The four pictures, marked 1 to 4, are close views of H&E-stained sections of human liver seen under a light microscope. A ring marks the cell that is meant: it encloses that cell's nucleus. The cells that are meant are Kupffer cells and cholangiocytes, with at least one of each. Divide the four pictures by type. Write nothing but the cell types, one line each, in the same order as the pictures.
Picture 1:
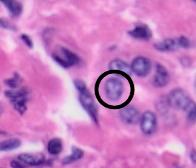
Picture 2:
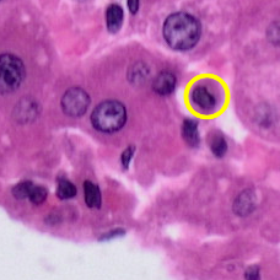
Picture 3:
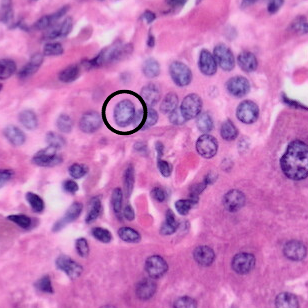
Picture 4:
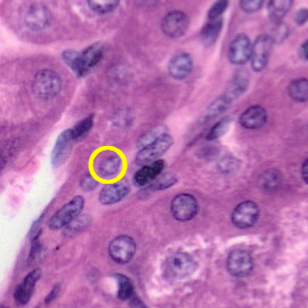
cholangiocyte
Kupffer cell
cholangiocyte
cholangiocyte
